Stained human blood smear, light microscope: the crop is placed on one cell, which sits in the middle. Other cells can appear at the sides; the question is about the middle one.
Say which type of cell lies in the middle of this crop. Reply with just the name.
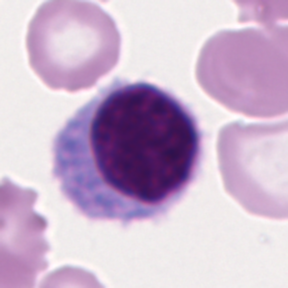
hairy cell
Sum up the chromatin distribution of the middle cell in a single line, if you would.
Its nuclear chromatin is gathered into coarse clumps.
